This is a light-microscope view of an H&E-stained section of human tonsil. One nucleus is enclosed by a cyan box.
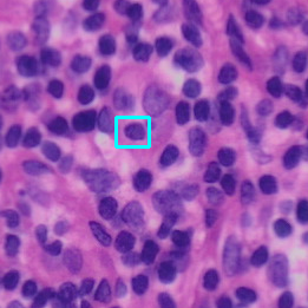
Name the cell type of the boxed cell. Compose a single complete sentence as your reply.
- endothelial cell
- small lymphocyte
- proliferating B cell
By its classification, the boxed cell is an endothelial cell.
